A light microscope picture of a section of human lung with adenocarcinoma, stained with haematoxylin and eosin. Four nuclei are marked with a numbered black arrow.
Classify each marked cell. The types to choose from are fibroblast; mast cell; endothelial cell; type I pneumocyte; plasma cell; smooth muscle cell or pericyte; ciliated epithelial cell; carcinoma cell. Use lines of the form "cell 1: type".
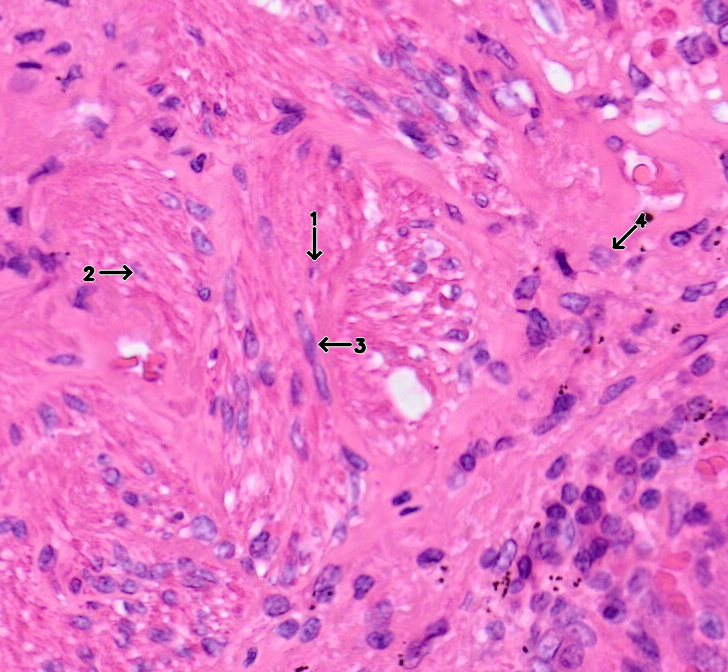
cell 1: smooth muscle cell or pericyte
cell 2: smooth muscle cell or pericyte
cell 3: smooth muscle cell or pericyte
cell 4: fibroblast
